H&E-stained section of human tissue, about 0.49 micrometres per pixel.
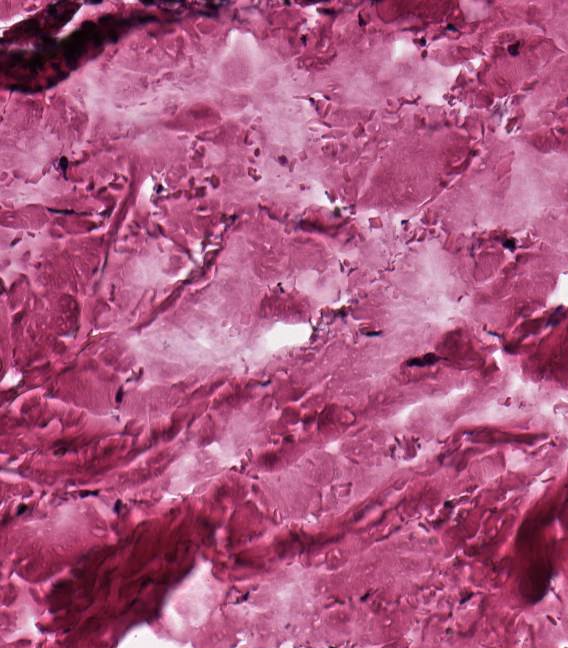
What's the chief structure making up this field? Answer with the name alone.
dermis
